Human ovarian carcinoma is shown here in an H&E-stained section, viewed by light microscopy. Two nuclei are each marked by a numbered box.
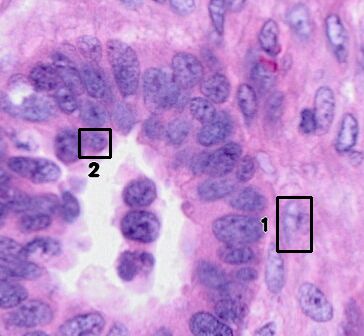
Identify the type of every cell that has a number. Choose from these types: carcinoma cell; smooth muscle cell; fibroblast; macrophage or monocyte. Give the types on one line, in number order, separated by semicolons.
fibroblast; carcinoma cell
